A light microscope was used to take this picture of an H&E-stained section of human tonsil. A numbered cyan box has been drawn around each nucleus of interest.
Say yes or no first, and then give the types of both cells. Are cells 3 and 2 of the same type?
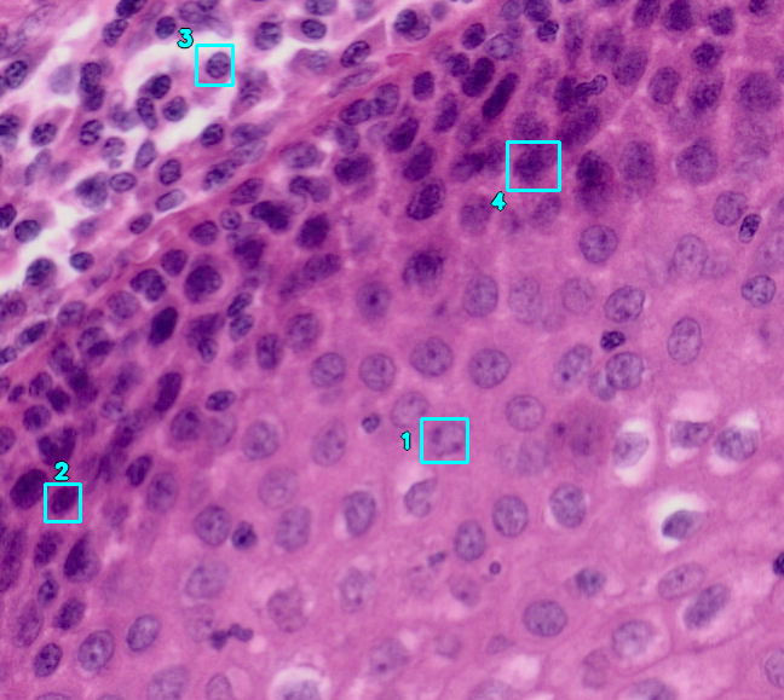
No, cell 3 is a plasma cell, and cell 2 is a squamous epithelial cell.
